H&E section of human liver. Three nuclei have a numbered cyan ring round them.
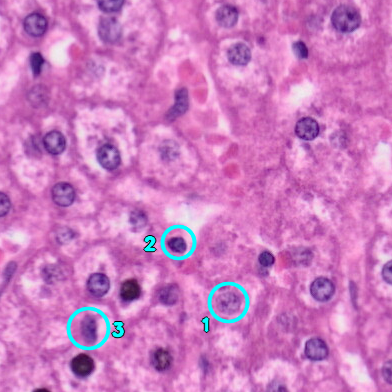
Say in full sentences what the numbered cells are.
Cell 1 is a hepatocyte. Cell 2 is a lymphocyte. Cell 3 is an endothelial cell.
